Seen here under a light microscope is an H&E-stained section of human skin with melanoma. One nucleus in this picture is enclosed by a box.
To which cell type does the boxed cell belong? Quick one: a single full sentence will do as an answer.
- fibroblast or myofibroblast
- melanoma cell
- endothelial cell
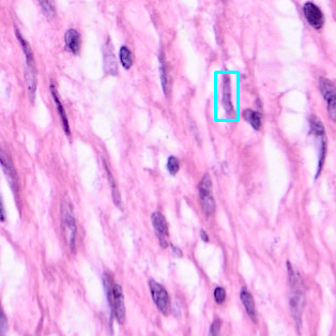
Within this tissue, the boxed cell is a fibroblast or myofibroblast.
